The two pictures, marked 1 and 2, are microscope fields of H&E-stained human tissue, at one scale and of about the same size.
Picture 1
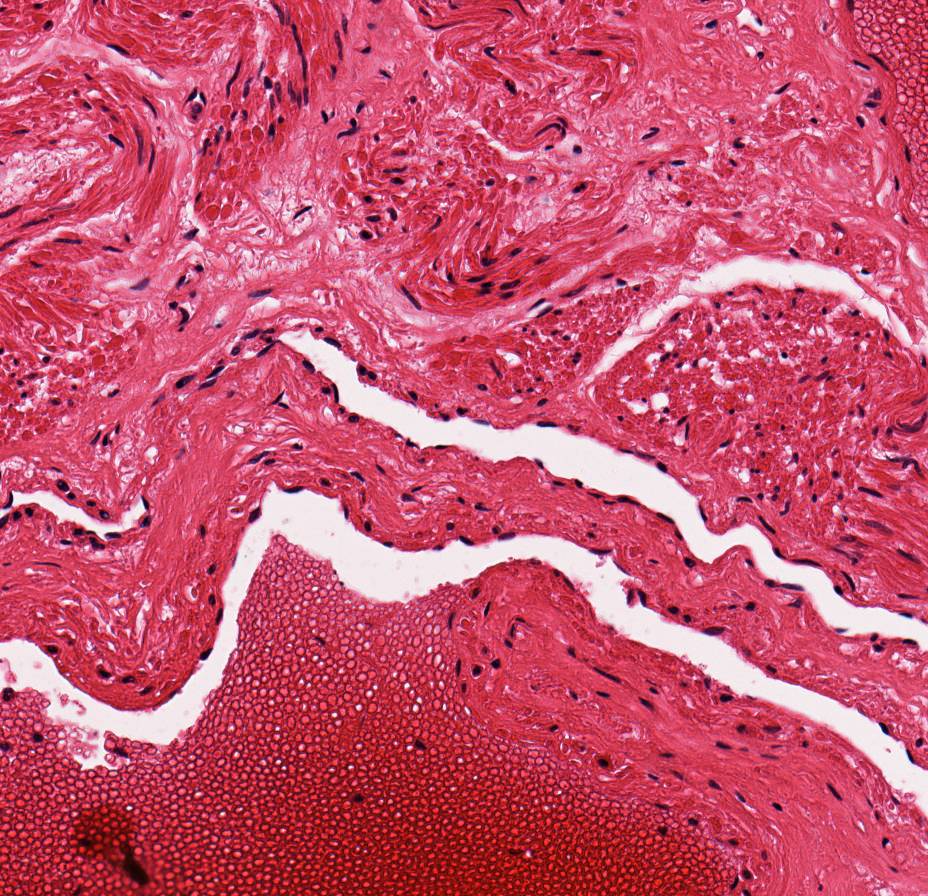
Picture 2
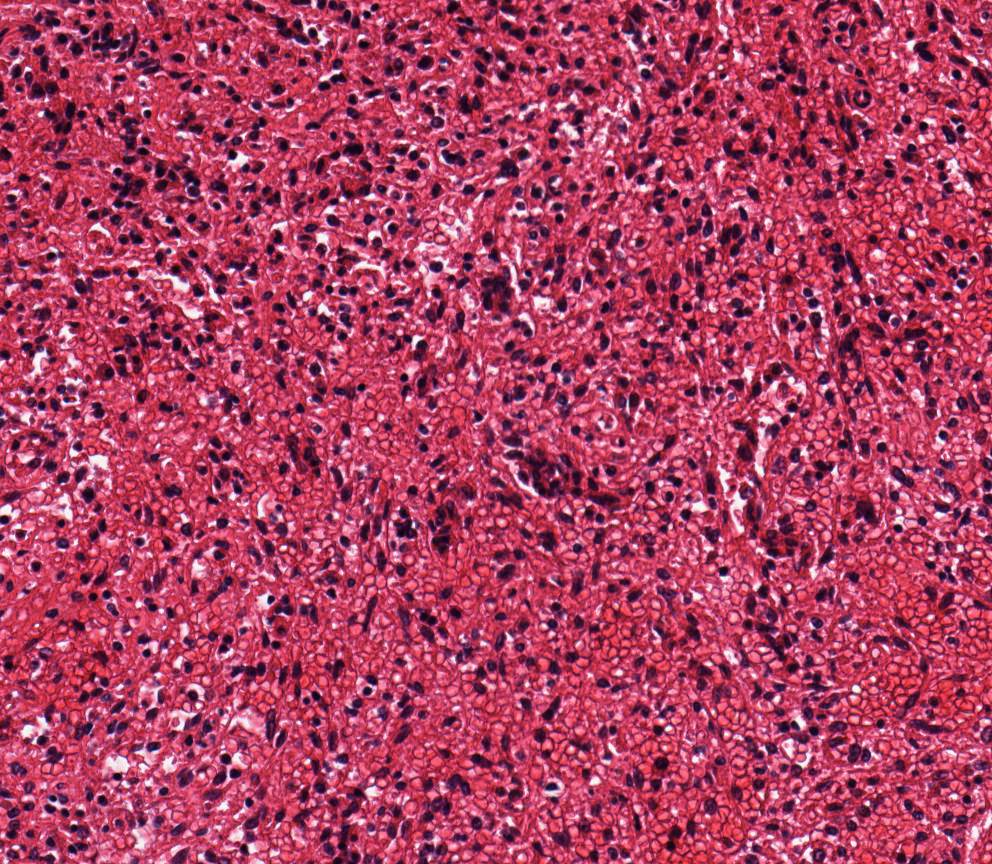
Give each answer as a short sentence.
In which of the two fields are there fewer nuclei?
The smaller number of nuclei is in picture 1.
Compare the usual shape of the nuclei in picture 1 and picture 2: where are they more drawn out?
It is picture 1 whose nuclei are the more elongated.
